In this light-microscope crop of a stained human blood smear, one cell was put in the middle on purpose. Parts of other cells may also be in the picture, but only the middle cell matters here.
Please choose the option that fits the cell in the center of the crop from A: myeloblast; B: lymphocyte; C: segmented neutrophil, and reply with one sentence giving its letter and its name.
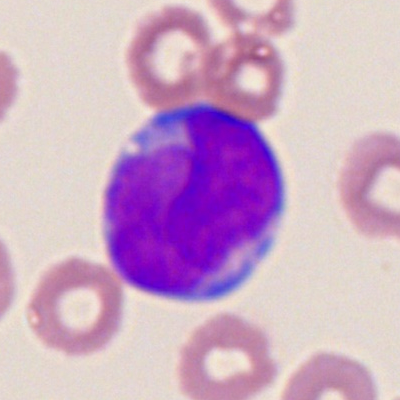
The cell shown centrally is a myeloblast; option A is the correct option.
